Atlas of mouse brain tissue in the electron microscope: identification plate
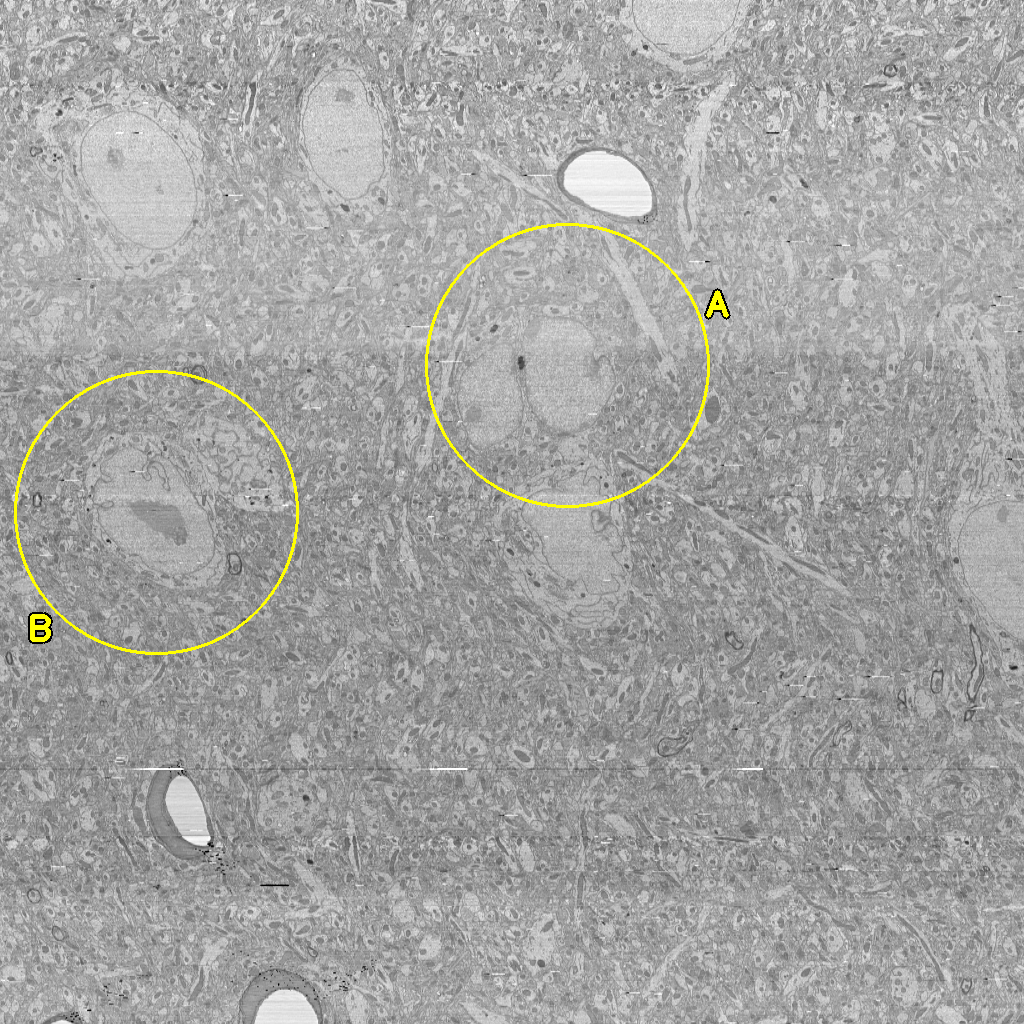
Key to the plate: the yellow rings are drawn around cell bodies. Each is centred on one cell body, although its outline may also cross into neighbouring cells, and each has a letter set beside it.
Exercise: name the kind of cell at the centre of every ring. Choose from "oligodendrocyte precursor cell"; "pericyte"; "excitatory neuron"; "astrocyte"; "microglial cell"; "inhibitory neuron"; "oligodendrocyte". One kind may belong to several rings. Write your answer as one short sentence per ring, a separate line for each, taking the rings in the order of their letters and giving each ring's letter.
The centre of ring A is occupied by an astrocyte.
The centre of ring B is occupied by an inhibitory neuron.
